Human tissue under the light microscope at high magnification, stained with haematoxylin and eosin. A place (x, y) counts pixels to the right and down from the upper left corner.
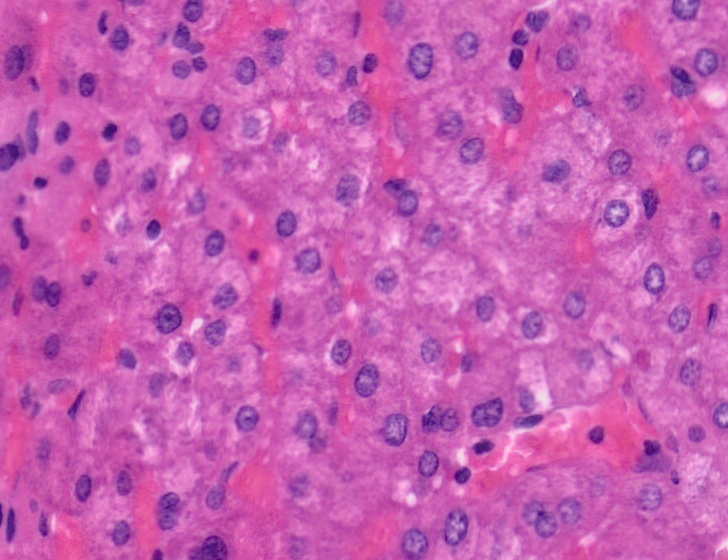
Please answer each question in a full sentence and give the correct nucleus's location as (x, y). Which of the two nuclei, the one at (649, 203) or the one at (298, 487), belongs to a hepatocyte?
Of the two nuclei, it is the one at (298, 487) that lies within a hepatocyte.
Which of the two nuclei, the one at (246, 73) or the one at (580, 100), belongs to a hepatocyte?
Among the two, the nucleus at (246, 73) is the nucleus of a hepatocyte.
